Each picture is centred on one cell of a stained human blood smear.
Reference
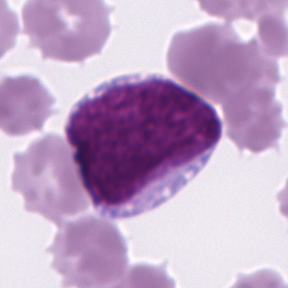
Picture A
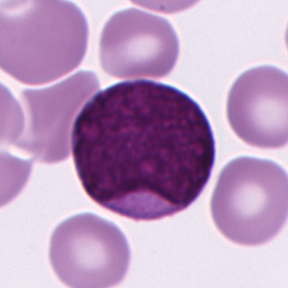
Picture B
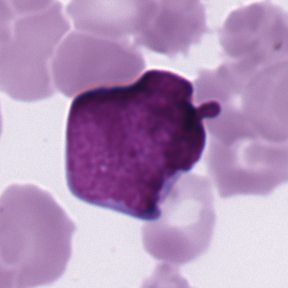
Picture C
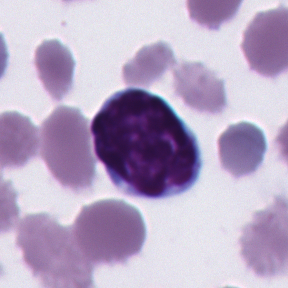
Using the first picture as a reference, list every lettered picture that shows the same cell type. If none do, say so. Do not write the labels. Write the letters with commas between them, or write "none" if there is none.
A, B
